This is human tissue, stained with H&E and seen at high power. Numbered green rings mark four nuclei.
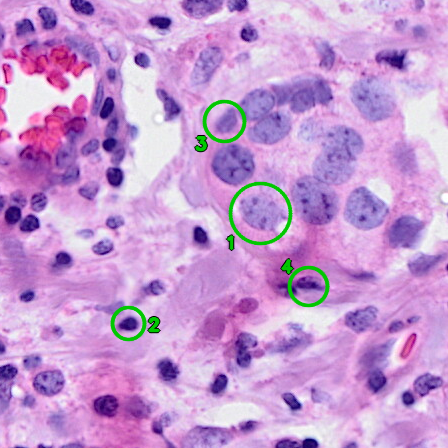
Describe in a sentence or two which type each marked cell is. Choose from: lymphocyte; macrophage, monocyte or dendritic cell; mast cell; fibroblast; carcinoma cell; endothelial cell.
Cells 1 and 3 are carcinoma cells. Cells 2 and 4 are lymphocytes.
